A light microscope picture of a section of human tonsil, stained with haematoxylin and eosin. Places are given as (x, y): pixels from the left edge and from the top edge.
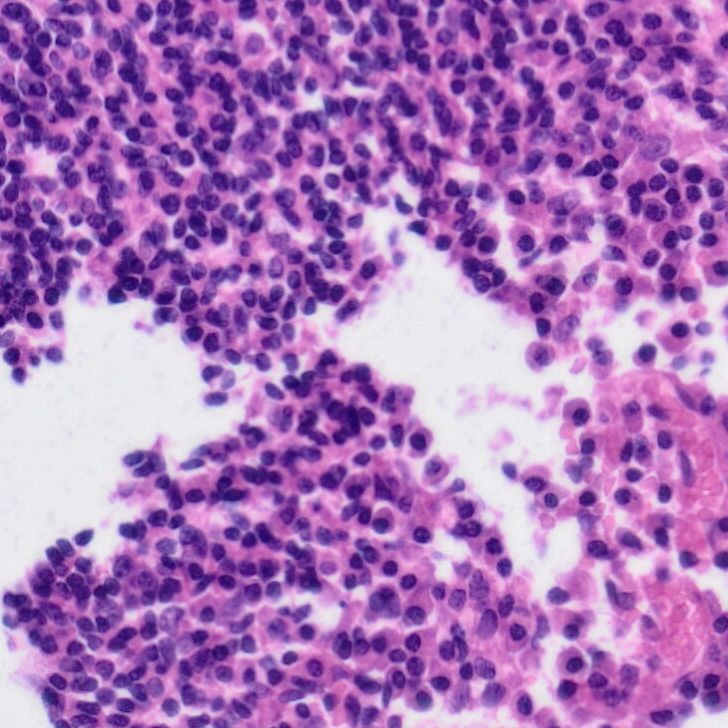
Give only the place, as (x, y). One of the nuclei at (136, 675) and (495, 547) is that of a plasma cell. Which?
(495, 547)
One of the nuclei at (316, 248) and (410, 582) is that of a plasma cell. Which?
(410, 582)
